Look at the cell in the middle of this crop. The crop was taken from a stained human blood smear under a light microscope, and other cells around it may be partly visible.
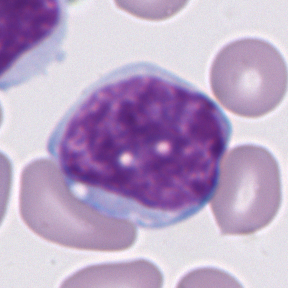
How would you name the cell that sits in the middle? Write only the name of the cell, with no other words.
myeloblast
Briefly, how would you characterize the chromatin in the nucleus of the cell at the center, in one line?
Heads up, the chromatin is fine with no coarse clumps in it.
